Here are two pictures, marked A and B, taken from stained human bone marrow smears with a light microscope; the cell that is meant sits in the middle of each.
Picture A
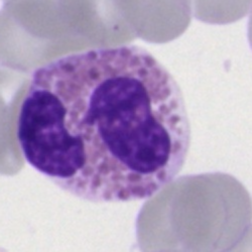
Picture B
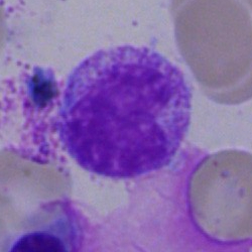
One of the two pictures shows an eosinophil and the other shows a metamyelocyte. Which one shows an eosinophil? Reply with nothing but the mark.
A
